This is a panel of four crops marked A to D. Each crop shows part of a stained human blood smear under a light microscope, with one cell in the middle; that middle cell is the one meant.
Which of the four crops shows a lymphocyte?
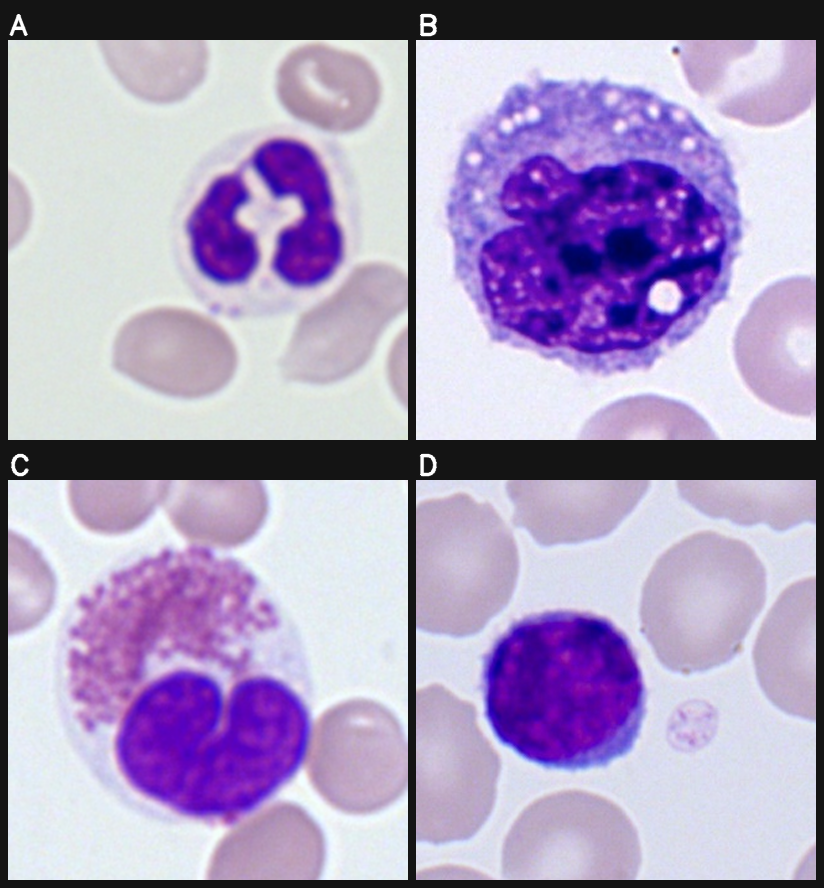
D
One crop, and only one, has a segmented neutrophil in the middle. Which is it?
A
